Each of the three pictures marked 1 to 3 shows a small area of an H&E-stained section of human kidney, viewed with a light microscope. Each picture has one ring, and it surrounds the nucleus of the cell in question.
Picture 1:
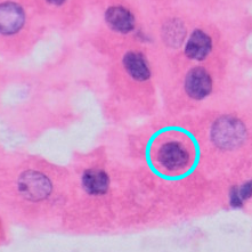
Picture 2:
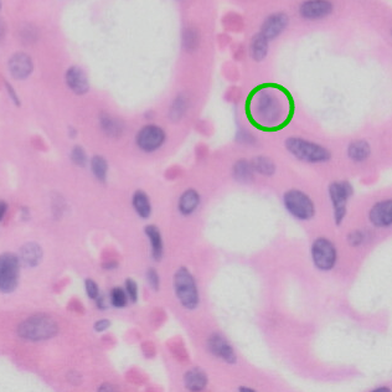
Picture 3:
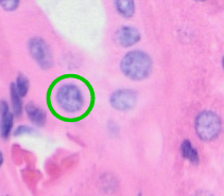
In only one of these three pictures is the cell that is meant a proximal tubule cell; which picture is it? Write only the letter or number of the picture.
1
